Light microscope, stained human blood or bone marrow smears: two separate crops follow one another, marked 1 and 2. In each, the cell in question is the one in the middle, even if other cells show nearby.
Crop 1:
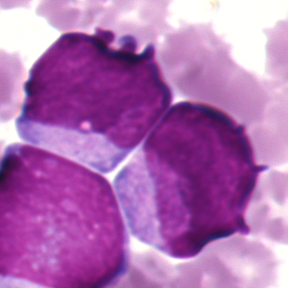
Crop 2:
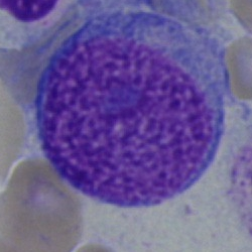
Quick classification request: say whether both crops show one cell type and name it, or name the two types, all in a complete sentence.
Yes, blasts are the cells shown in both crops.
